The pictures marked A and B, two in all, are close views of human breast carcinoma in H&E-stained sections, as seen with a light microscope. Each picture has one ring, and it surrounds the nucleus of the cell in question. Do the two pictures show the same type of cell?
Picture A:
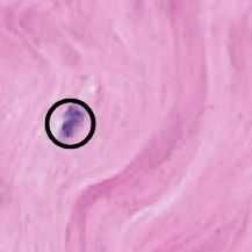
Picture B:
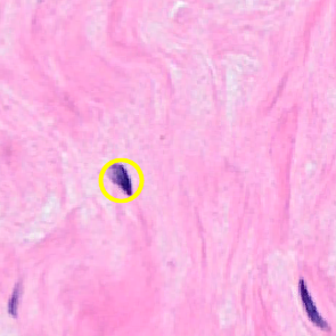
yes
